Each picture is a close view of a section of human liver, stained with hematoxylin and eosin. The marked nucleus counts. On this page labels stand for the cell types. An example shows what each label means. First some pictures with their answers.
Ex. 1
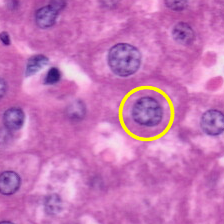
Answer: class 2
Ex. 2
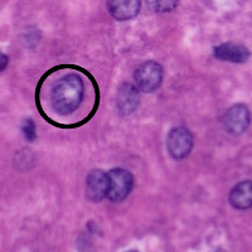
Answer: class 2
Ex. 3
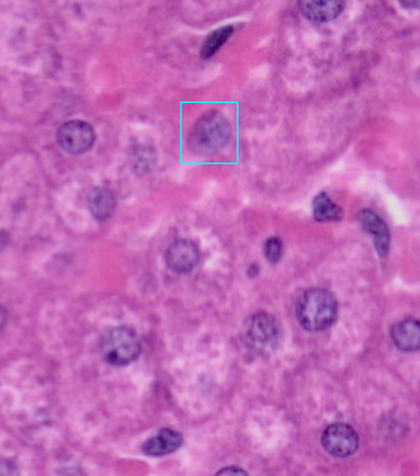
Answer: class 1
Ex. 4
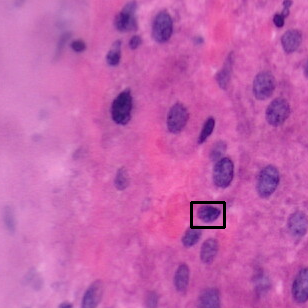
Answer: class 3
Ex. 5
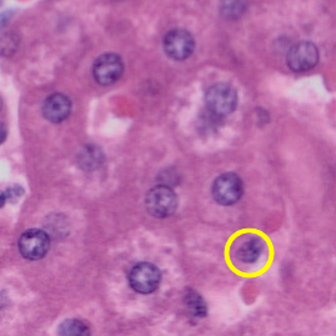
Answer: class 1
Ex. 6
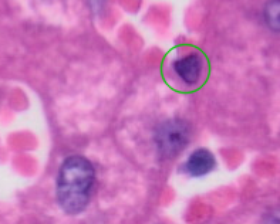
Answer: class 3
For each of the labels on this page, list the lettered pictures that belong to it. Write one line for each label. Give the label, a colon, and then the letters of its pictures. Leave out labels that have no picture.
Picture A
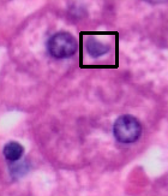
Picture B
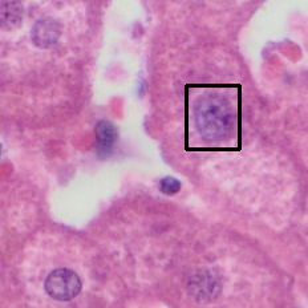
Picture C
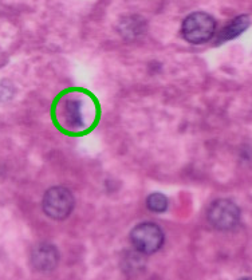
class 2: B
class 1: A, C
